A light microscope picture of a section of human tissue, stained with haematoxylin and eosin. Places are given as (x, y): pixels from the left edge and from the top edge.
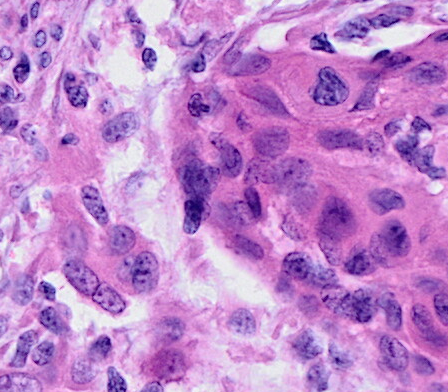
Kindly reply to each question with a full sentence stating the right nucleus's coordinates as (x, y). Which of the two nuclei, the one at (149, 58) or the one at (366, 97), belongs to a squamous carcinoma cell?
Belonging to a squamous carcinoma cell is the nucleus at (366, 97).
